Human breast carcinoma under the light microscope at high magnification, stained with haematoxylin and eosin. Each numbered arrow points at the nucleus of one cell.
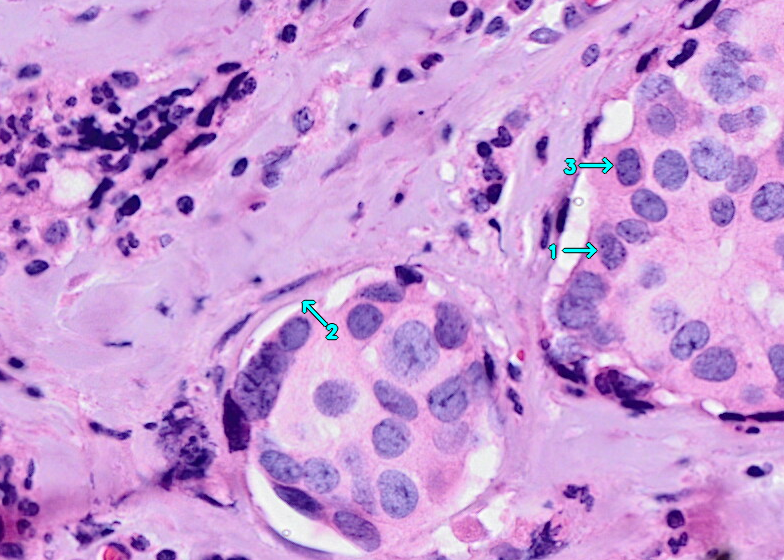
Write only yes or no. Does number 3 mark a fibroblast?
no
